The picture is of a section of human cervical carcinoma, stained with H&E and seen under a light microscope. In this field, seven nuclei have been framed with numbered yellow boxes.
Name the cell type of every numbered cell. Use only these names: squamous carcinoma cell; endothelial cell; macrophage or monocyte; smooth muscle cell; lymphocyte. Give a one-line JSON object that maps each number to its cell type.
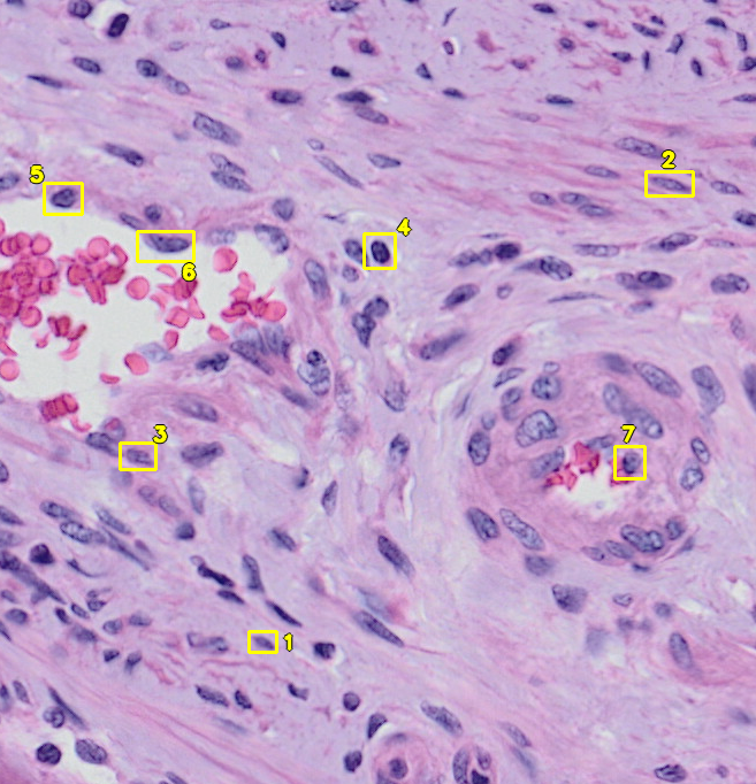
{"1": "smooth muscle cell", "2": "smooth muscle cell", "3": "endothelial cell", "4": "lymphocyte", "5": "endothelial cell", "6": "endothelial cell", "7": "endothelial cell"}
